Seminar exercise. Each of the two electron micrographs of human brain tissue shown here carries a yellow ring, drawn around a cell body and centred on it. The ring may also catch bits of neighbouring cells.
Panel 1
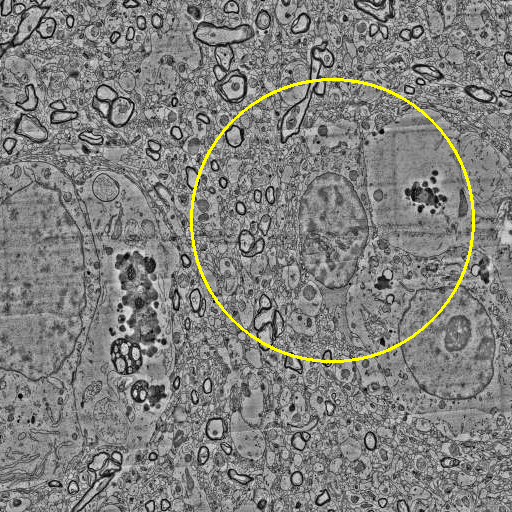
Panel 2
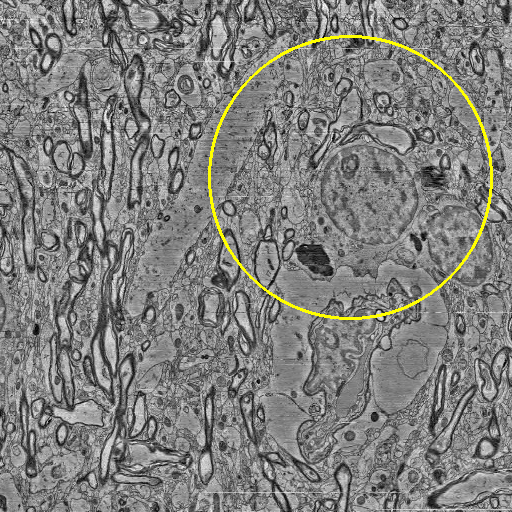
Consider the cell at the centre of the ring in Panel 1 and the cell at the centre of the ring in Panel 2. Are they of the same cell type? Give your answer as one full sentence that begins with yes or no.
Yes, both cells are of the same type.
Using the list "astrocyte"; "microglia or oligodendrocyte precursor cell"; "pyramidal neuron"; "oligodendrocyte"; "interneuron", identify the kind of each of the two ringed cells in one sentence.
Both the first and the second picture show an oligodendrocyte in the ring.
